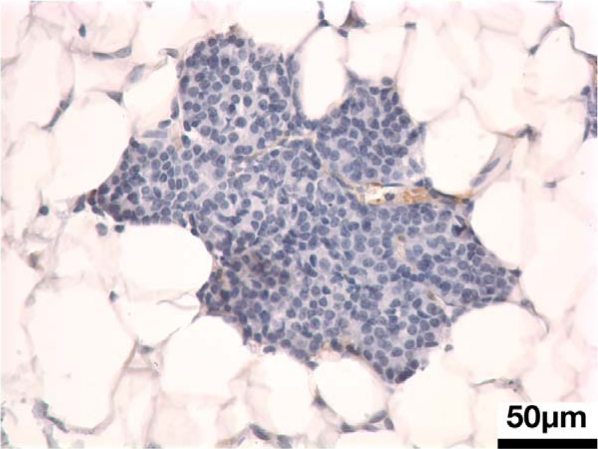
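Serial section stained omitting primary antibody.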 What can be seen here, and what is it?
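The large clear fat cells make a honeycomb of empty polygonal spaces all around. The cluster is densely packed with small round and oval blue nuclei, closely set and evenly spread, with little visible cytoplasm between them and no open lumen. A thin strand with a little yellowish-brown material crosses the right side of the cluster.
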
